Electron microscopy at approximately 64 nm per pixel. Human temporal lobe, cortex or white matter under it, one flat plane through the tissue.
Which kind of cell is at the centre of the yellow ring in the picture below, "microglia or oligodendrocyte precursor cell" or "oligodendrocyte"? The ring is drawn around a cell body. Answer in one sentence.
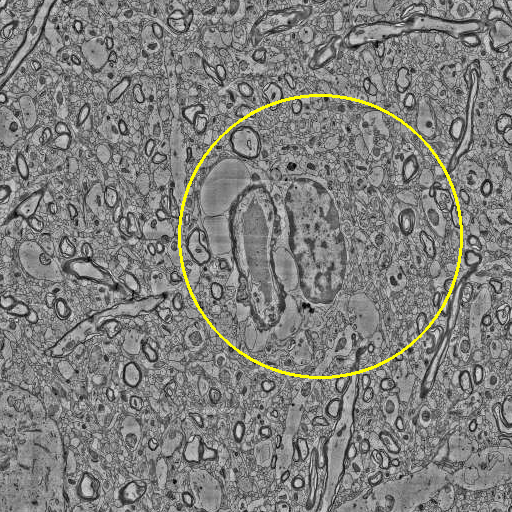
The ring's central cell is a microglial cell or oligodendrocyte precursor cell.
